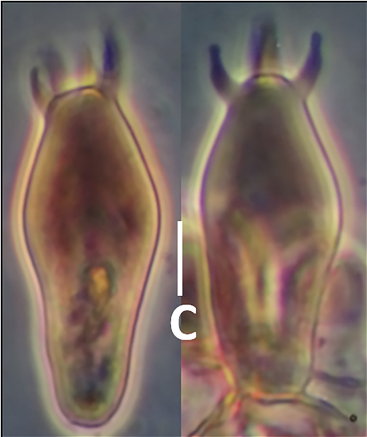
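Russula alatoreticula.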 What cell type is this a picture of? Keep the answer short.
Basidia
